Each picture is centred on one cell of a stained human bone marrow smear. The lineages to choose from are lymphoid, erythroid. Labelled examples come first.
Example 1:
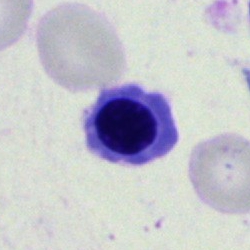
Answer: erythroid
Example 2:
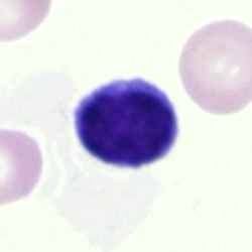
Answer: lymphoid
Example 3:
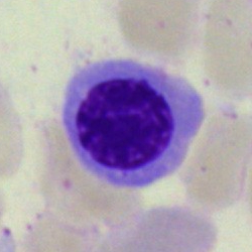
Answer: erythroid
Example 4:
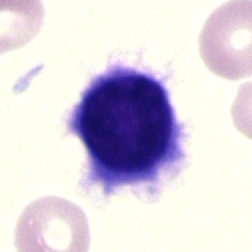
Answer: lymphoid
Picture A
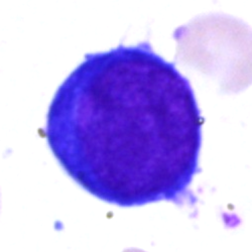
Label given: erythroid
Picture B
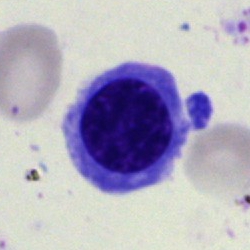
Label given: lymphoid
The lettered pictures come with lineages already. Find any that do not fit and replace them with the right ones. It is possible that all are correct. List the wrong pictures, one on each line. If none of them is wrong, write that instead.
Wrong: B (lymphoid); correct: erythroid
